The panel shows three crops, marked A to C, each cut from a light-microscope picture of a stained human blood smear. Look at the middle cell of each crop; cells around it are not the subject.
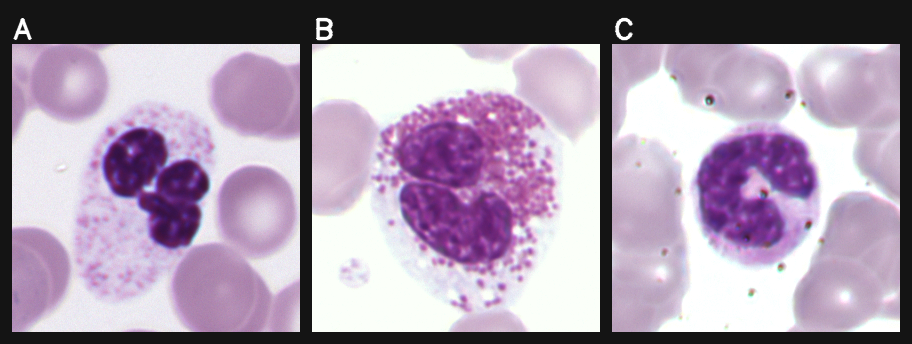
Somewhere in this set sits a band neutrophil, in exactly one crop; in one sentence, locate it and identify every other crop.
Crop C is a band neutrophil; as for the rest, crop A is a segmented neutrophil and crop B is an eosinophil.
